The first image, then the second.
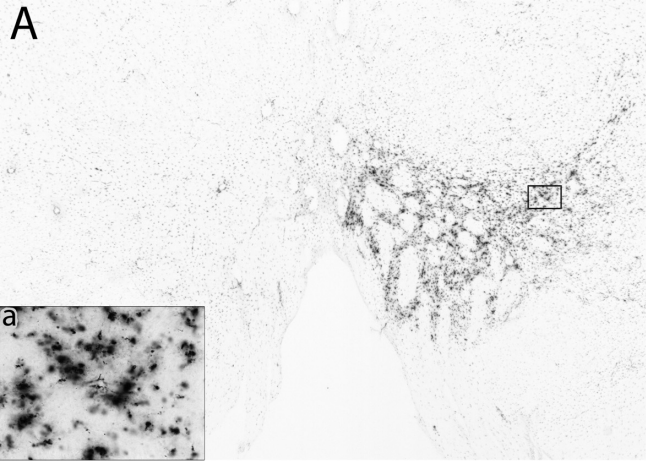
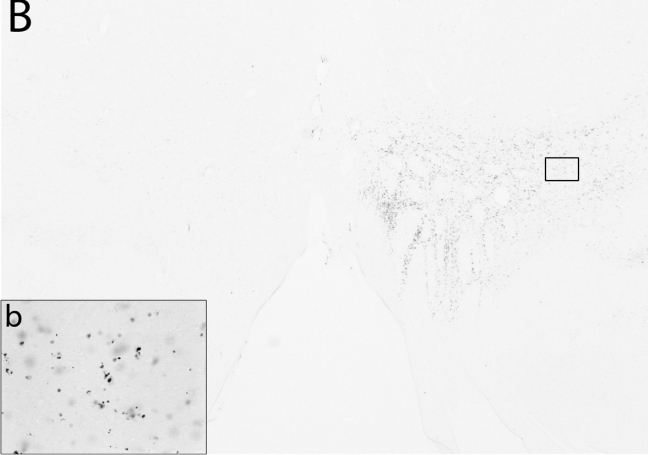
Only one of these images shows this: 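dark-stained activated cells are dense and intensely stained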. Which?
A: the first image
